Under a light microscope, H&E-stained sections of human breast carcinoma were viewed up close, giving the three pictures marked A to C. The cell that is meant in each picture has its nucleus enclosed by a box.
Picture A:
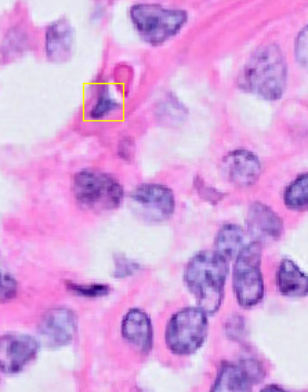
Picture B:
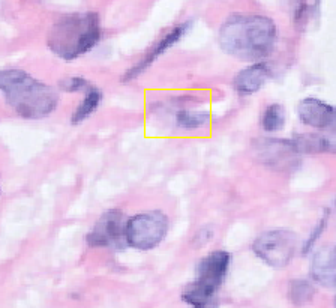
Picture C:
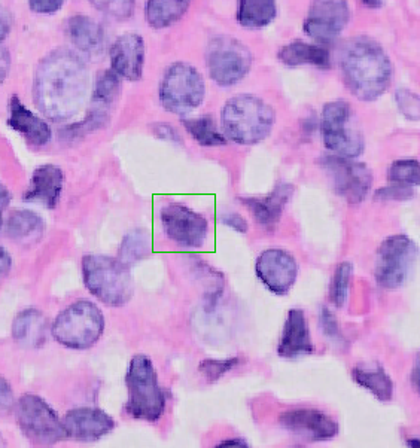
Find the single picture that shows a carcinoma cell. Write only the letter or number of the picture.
C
